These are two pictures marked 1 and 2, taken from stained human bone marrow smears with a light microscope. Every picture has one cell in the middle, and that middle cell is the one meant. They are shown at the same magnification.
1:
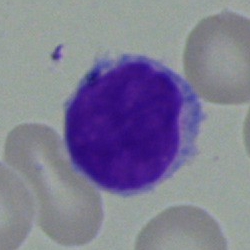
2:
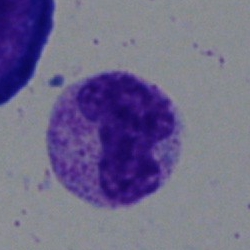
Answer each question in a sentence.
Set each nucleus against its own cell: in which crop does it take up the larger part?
In crop 1 the nucleus takes up the larger part of its cell.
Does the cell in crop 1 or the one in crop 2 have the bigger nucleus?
Larger is the nucleus in crop 1, at roughly 1.5 times the area of the other.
